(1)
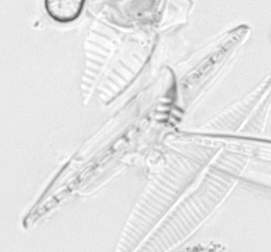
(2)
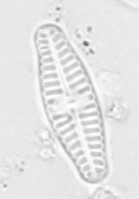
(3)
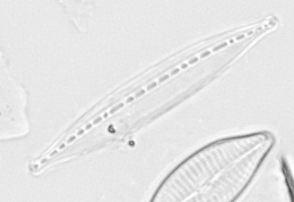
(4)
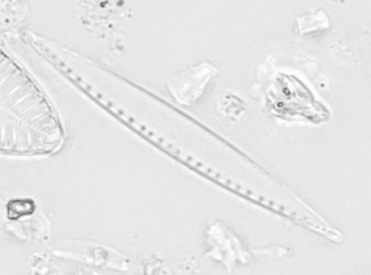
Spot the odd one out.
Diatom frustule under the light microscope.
Picture 2 (Planothidium among Nitzschia).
